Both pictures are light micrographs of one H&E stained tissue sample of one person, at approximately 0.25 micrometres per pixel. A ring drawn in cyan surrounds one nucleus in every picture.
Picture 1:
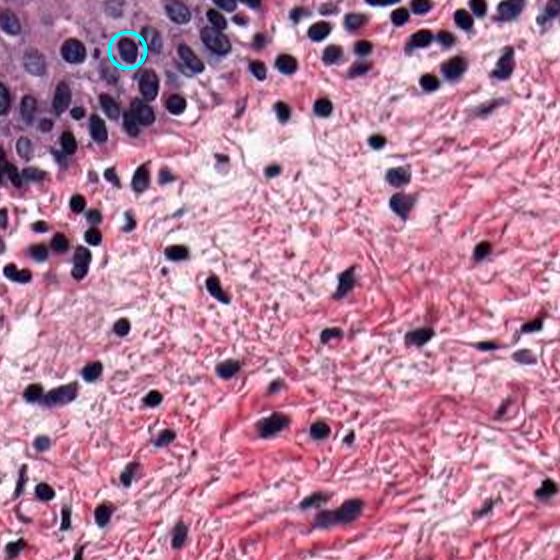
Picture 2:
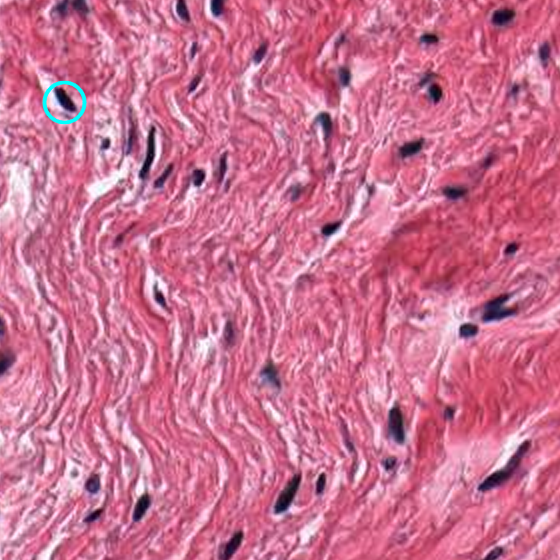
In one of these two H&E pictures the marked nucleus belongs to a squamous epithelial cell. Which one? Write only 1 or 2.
1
